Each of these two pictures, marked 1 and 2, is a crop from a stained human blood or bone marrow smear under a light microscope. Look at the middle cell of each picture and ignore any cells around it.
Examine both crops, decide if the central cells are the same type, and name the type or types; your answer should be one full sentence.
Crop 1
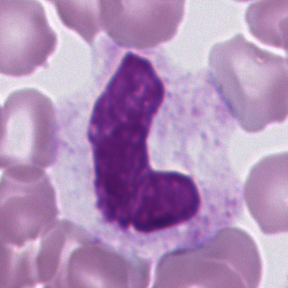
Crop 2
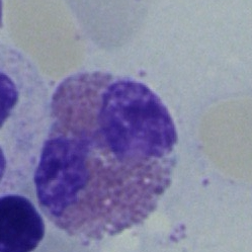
No, crop 1 features a band neutrophil, and crop 2 features an eosinophil.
